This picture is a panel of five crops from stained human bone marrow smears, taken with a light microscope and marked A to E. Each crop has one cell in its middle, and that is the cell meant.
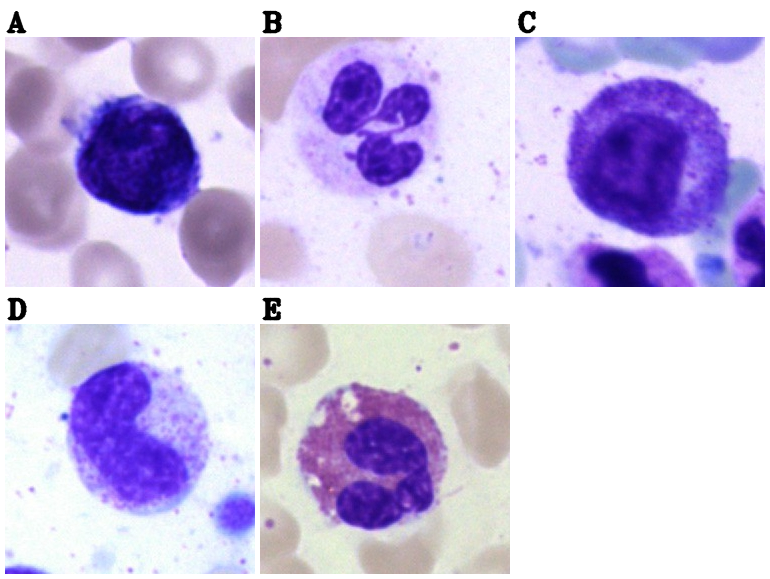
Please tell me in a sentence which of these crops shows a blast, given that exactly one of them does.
The crop marked A is the one in which a blast is shown.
